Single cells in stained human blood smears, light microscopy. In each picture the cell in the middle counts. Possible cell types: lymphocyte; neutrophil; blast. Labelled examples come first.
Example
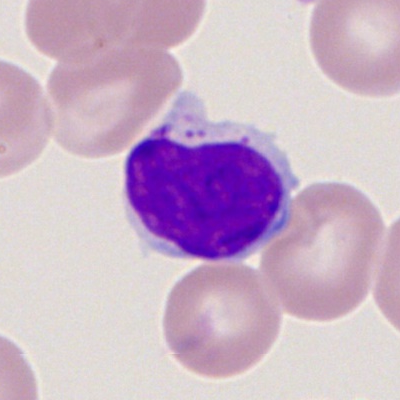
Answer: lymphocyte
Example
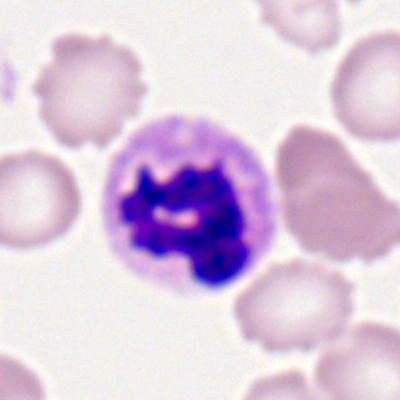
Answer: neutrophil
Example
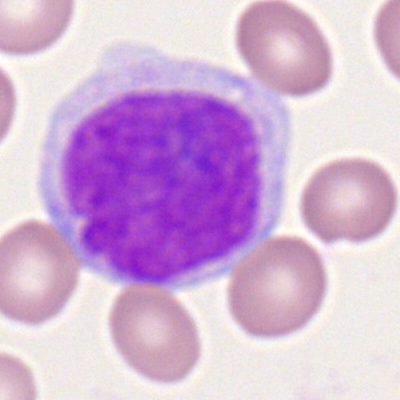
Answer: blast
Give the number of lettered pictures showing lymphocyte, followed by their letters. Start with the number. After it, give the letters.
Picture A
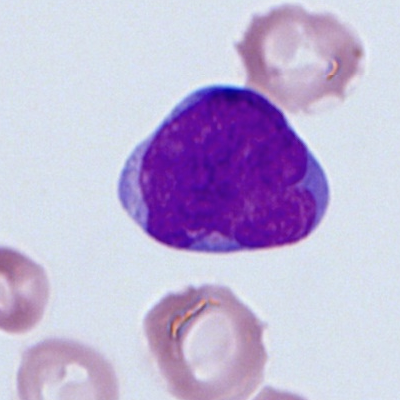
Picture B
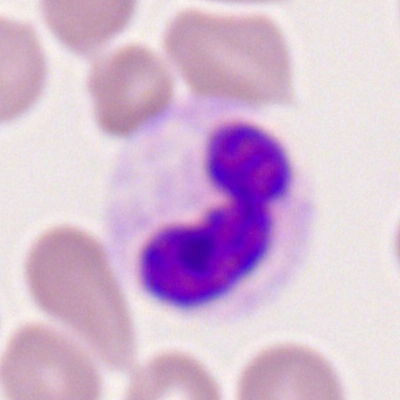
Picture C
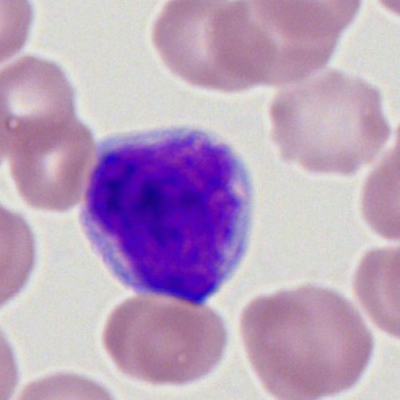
0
